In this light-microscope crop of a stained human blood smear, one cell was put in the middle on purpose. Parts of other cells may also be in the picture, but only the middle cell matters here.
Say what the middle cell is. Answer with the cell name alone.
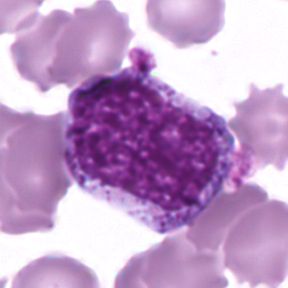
myelocyte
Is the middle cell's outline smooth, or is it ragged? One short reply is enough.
The edge of the cell is broken up by ragged stretches or by outward projections.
